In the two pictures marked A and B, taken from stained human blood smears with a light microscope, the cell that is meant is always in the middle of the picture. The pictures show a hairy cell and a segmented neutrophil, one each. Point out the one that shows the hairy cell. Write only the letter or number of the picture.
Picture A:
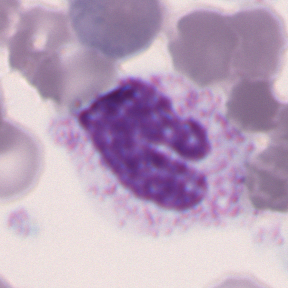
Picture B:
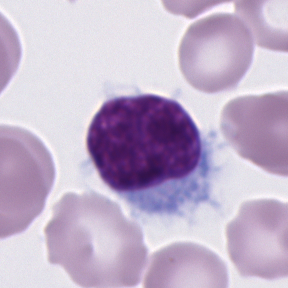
B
